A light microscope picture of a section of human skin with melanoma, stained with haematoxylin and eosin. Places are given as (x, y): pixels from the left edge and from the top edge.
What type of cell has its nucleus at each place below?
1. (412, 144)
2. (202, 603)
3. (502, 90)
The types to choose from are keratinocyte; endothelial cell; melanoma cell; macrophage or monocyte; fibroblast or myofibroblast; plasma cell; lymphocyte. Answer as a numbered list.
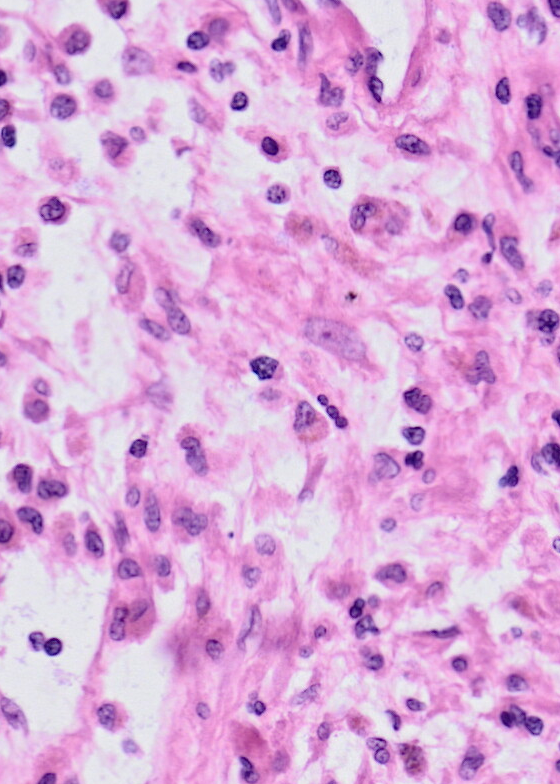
1. macrophage or monocyte
2. macrophage or monocyte
3. lymphocyte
